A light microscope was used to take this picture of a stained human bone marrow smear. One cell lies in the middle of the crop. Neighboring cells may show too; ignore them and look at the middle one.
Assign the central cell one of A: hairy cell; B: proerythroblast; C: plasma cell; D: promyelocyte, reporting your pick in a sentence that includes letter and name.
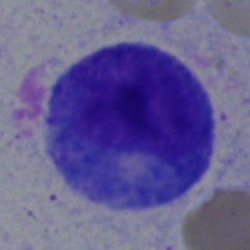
Since the middle cell is a promyelocyte, option D is the right one.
